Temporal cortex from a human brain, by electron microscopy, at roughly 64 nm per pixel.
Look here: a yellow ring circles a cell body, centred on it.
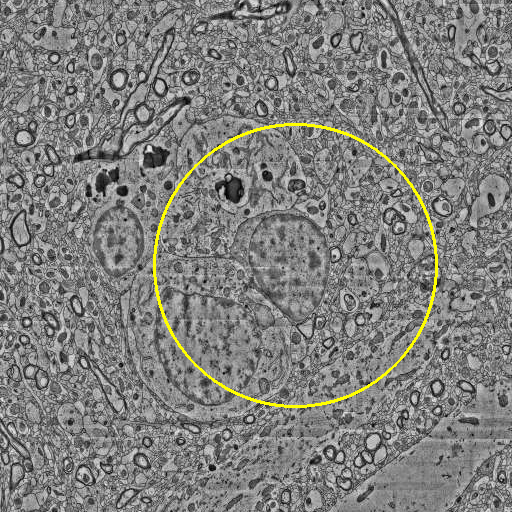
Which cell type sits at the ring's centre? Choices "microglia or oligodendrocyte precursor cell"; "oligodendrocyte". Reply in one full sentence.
The cell at the centre of the yellow ring in the picture is an oligodendrocyte.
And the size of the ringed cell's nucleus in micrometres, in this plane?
About 7 micrometres by about 5 micrometres in this plane.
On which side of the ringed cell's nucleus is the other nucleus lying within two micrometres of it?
The other nucleus is situated to the lower left of it.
